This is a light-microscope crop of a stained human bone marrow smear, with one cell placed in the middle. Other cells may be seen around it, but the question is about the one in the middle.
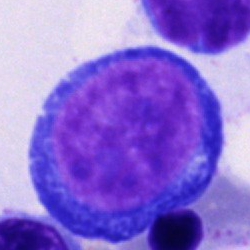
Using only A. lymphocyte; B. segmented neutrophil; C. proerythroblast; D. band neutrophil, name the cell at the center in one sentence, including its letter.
Identified correctly by option C, the cell in the middle is a proerythroblast.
